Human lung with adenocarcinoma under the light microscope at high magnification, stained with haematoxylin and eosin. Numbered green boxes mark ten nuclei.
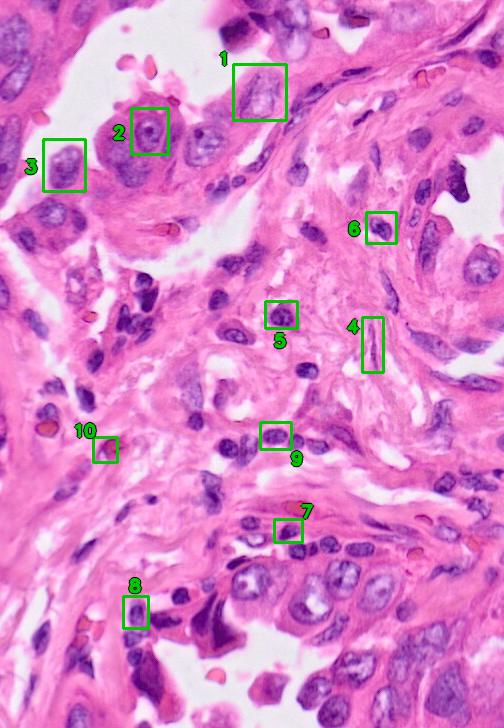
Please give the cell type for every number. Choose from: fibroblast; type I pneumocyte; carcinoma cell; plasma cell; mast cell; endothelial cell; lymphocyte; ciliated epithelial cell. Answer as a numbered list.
1. carcinoma cell
2. carcinoma cell
3. carcinoma cell
4. fibroblast
5. plasma cell
6. lymphocyte
7. lymphocyte
8. lymphocyte
9. lymphocyte
10. endothelial cell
